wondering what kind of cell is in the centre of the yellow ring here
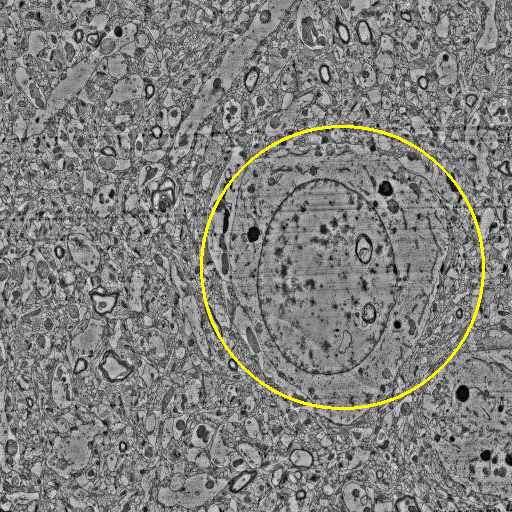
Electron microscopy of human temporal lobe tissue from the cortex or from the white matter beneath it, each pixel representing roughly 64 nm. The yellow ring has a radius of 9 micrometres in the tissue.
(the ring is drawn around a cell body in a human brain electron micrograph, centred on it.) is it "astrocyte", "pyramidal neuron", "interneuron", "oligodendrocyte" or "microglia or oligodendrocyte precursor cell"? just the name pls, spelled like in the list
pyramidal neuron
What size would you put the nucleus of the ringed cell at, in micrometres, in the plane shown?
Roughly 12 by 9 micrometres in this plane, for the nucleus of the ringed cell.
